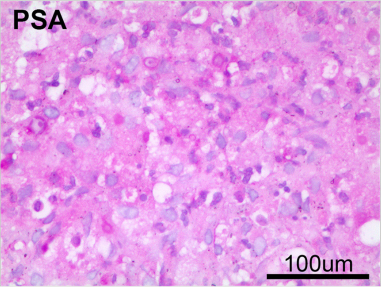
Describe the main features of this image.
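Nuclei are pale blue-grey and round to oval. Cell borders are hard to make out and the cells form a continuous granular mass.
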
